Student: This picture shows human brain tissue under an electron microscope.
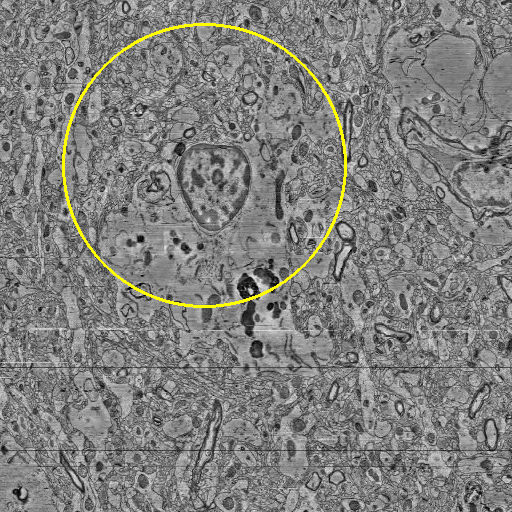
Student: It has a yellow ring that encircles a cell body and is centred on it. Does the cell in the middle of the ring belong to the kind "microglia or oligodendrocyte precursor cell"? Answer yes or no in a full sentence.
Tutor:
Yes, the cell in the middle of the ring in this picture is of that kind.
